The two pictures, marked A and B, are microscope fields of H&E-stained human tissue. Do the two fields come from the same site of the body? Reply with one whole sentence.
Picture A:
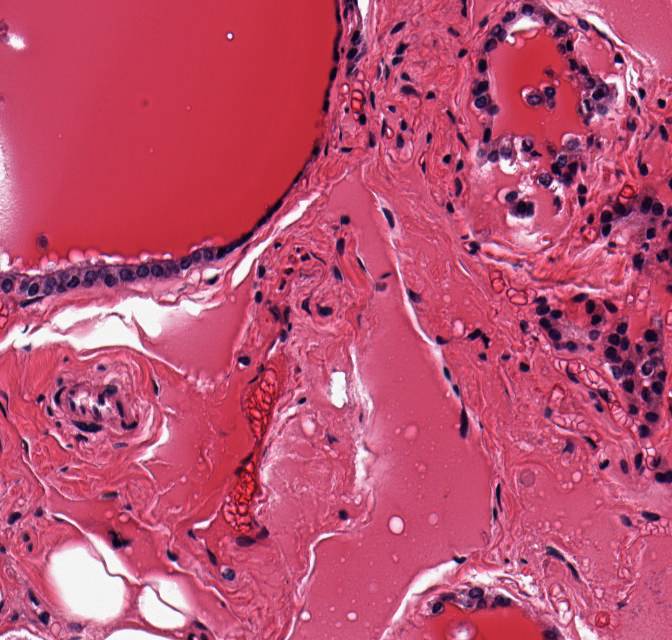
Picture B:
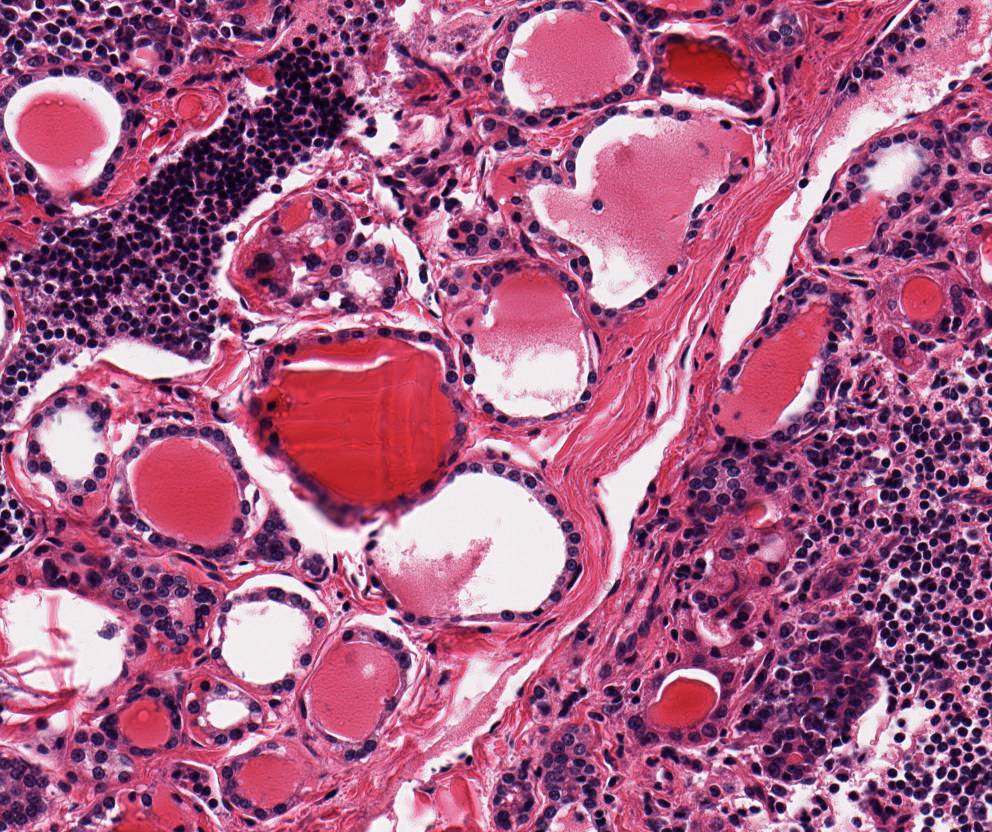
Yes; both pictures come from the thyroid.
